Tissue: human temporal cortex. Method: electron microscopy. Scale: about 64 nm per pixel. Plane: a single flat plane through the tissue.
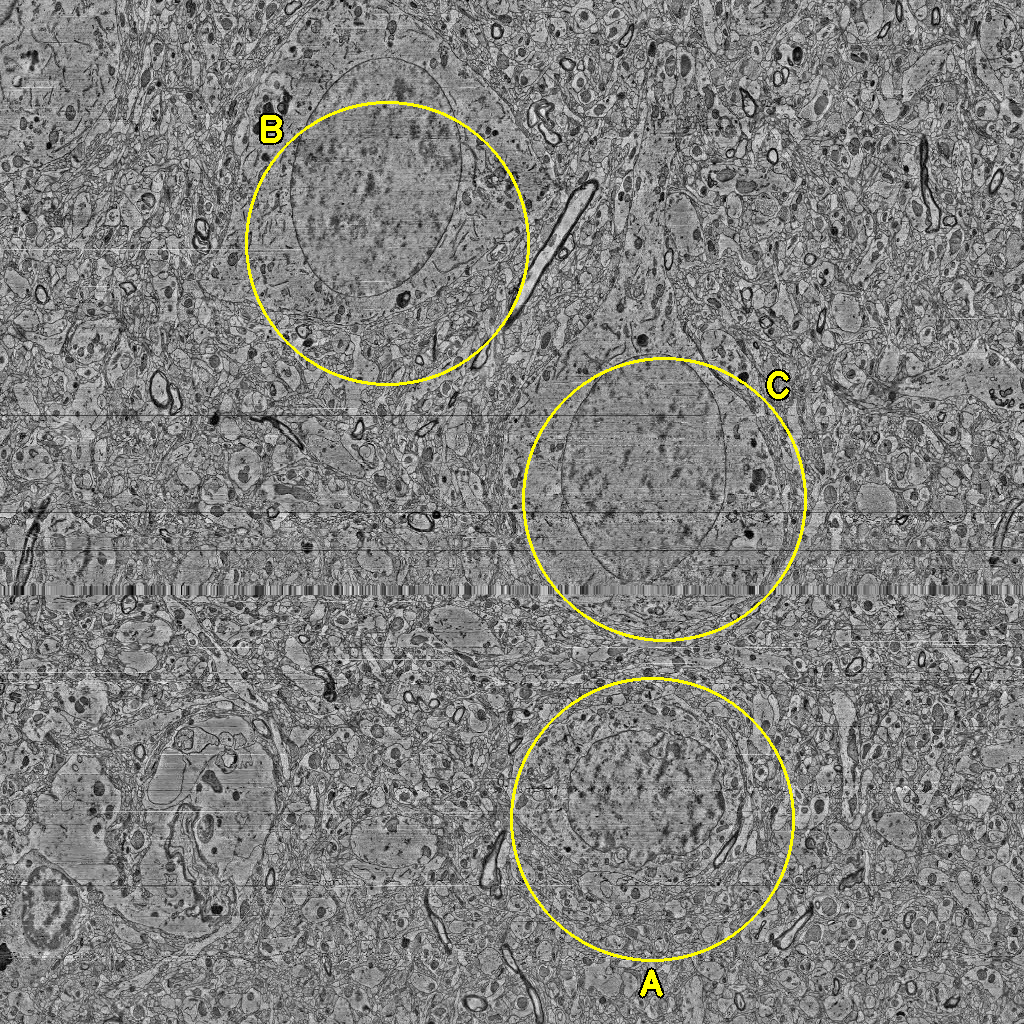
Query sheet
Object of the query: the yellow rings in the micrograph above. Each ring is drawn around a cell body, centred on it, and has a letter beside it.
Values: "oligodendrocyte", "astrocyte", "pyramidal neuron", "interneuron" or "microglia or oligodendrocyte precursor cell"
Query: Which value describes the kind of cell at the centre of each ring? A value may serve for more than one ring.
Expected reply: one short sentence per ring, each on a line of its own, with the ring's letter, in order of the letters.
I assign an interneuron to ring A.
I assign a pyramidal neuron to ring B.
I assign a pyramidal neuron to ring C.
